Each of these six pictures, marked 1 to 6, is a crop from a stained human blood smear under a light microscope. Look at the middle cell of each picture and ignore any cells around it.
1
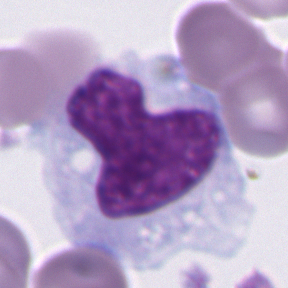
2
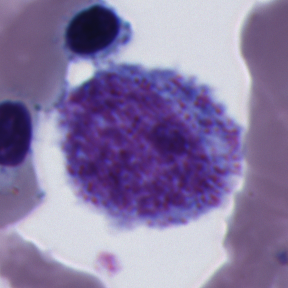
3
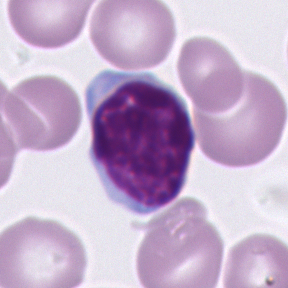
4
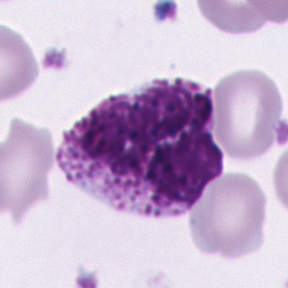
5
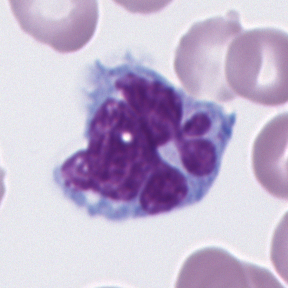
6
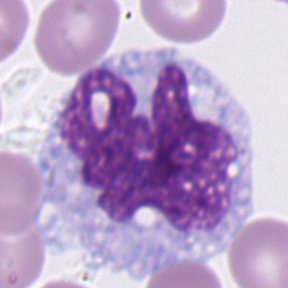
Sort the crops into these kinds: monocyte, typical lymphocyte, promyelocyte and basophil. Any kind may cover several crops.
1: monocyte
2: promyelocyte
3: typical lymphocyte
4: basophil
5: monocyte
6: monocyte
